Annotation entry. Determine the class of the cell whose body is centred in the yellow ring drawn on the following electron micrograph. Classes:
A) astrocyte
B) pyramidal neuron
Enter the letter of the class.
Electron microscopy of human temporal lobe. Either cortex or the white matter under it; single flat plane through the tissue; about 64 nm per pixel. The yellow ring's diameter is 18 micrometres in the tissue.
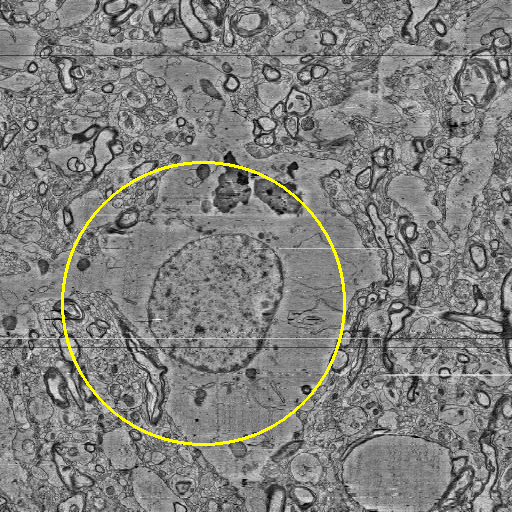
A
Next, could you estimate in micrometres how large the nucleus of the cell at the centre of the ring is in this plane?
The ringed cell's nucleus is about 9 micrometres across in this plane.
